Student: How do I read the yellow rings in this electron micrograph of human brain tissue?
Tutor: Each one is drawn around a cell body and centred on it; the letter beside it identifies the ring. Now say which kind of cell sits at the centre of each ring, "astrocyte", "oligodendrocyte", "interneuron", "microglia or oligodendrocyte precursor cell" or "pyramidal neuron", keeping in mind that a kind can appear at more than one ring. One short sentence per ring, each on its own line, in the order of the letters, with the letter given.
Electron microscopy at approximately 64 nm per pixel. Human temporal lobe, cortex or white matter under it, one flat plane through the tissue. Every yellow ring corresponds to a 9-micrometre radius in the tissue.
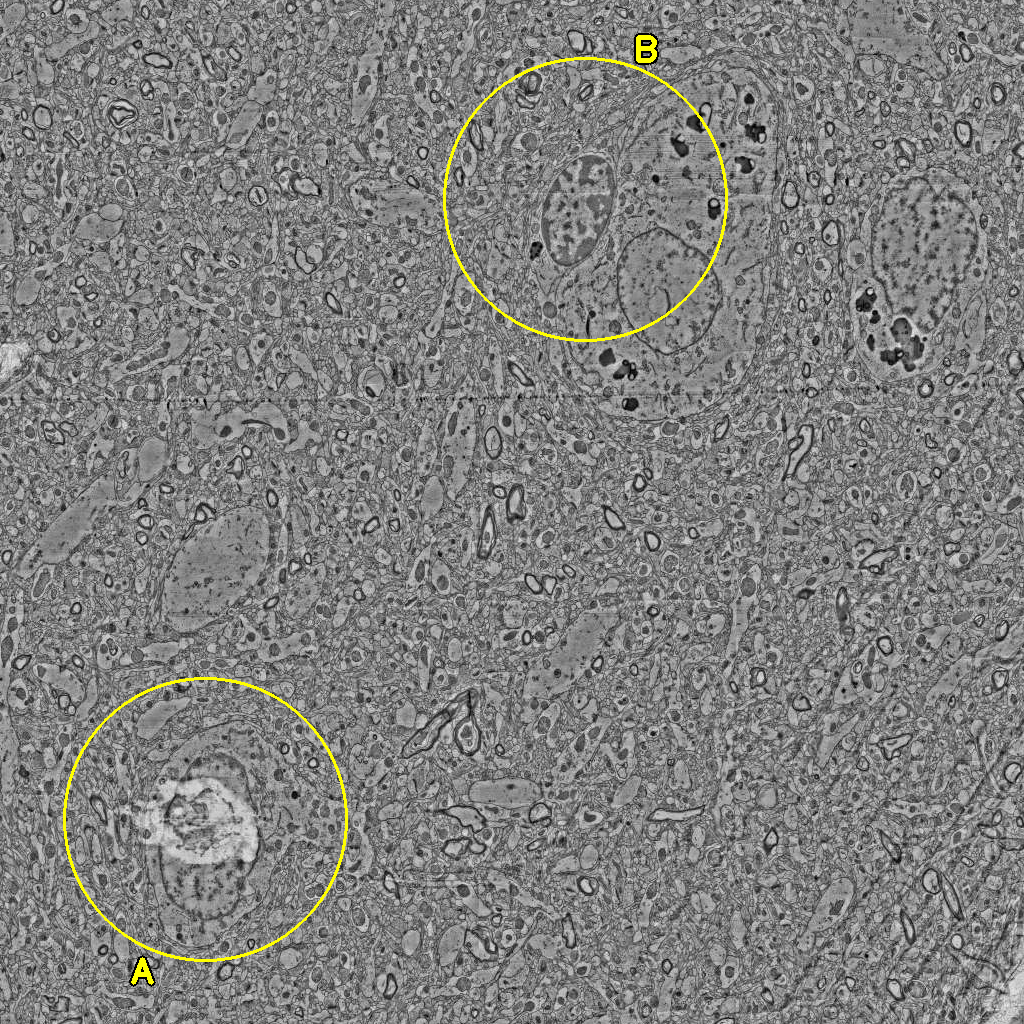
In the centre of ring A is an interneuron.
In the centre of ring B is a microglial cell or oligodendrocyte precursor cell.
